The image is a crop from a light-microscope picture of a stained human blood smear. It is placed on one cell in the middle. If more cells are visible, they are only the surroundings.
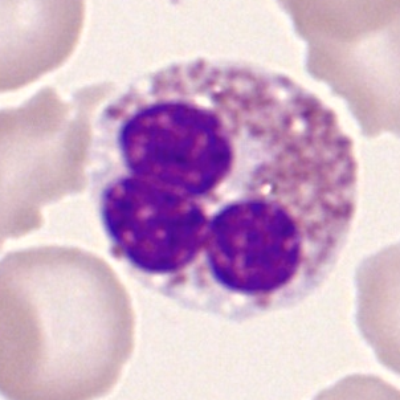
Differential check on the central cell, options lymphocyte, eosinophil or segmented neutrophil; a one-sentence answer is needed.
The cell occupying the middle of the crop is an eosinophil.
